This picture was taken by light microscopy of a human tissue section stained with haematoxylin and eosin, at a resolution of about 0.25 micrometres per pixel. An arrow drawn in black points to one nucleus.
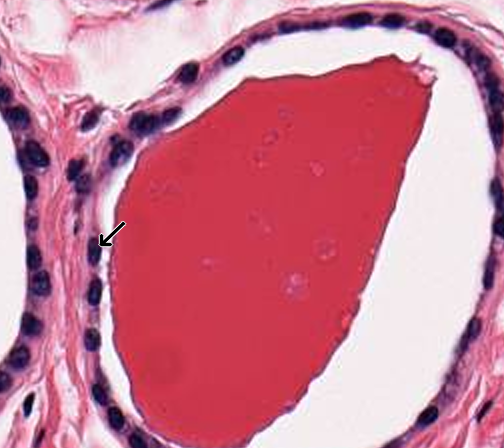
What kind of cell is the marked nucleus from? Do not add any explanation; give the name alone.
thyroid follicular cell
